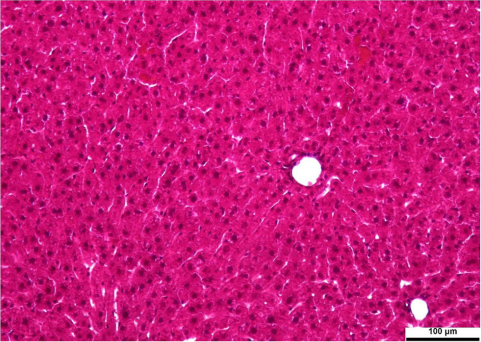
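Liver tissue in which hepatocytes are arranged in cords that run between narrow, slit-like sinusoids. The hepatocytes are polygonal, with evenly pink cytoplasm and round, dark purple nuclei, mostly one per cell and centrally placed. Two small round vessel lumens are seen, with cords of cells lying around them. The cytoplasm looks uniform without clear spaces or vacuoles.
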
